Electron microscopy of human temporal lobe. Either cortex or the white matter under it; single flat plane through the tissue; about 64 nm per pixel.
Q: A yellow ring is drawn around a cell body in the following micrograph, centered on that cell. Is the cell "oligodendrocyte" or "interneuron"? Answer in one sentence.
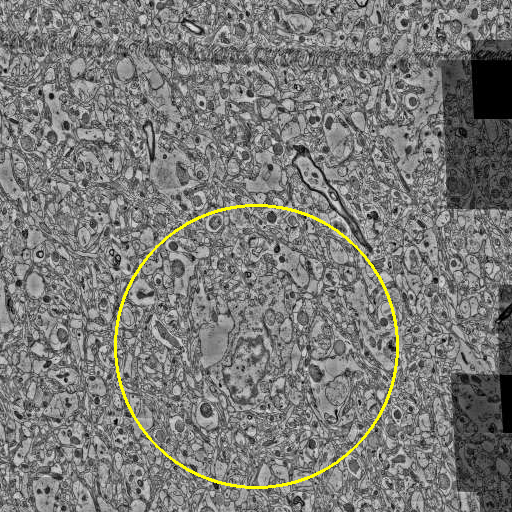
The cell in the center of the ring is an interneuron.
